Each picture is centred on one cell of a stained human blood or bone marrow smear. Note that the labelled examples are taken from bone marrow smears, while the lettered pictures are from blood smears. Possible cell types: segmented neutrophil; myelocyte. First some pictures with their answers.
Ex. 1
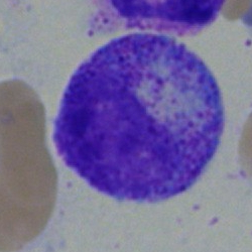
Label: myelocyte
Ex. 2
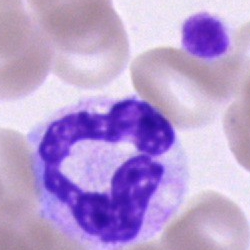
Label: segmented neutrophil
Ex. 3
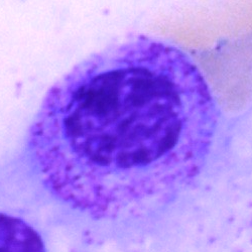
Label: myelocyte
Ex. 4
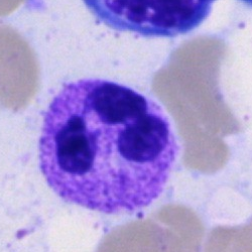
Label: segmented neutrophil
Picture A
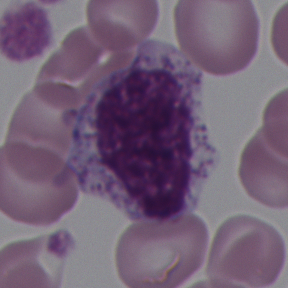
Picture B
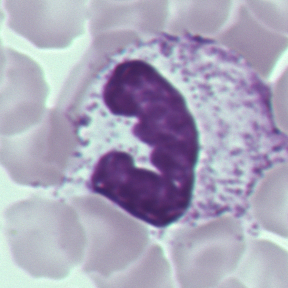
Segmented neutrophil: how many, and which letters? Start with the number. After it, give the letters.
Count: 1 (B)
